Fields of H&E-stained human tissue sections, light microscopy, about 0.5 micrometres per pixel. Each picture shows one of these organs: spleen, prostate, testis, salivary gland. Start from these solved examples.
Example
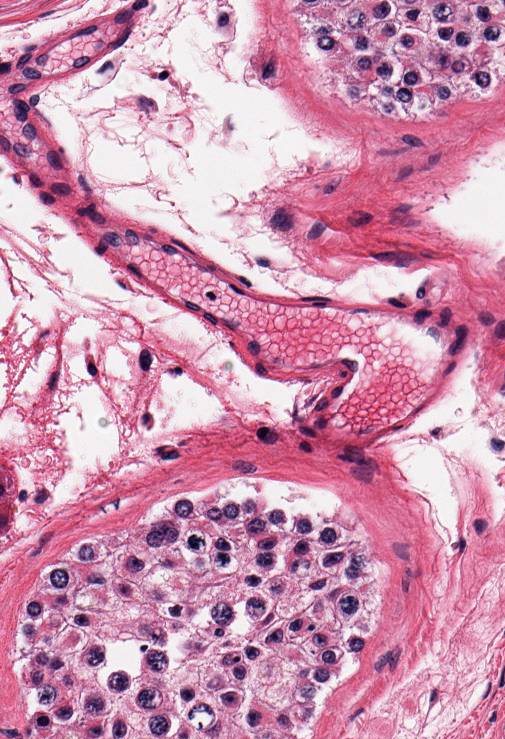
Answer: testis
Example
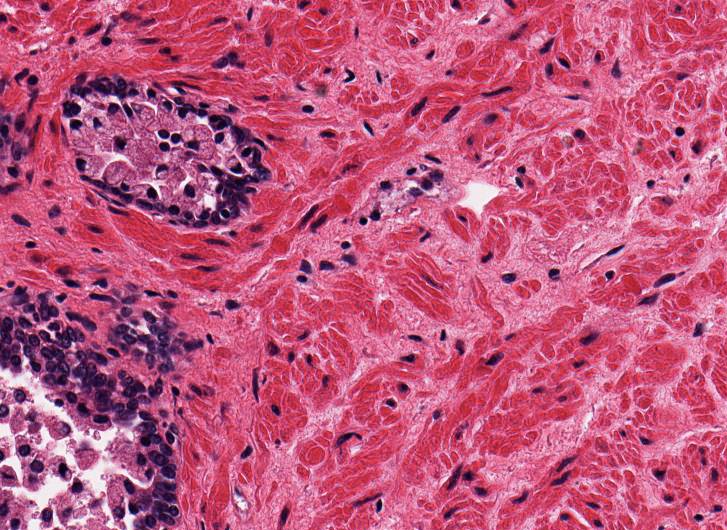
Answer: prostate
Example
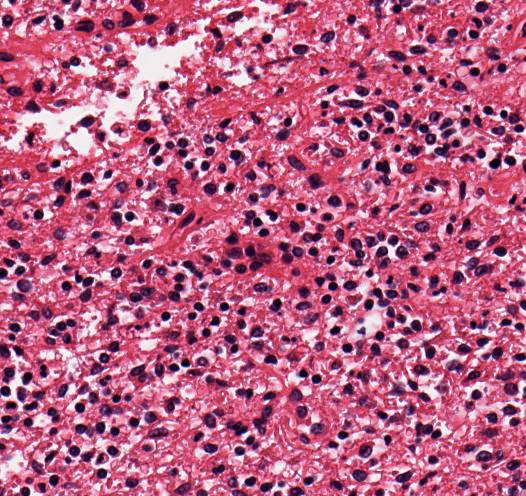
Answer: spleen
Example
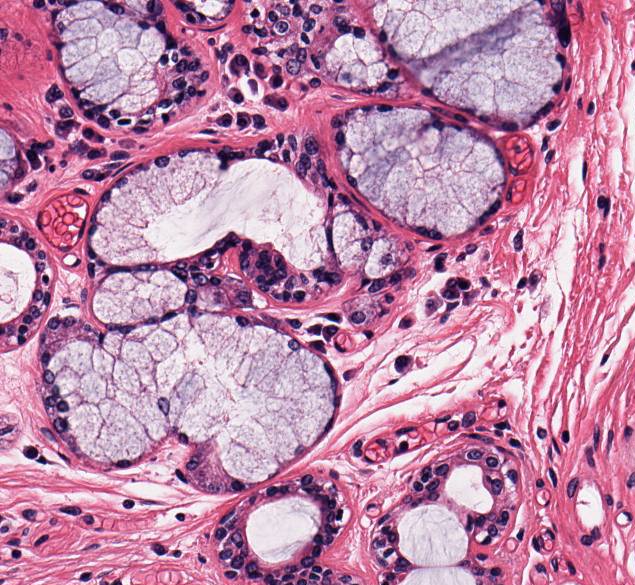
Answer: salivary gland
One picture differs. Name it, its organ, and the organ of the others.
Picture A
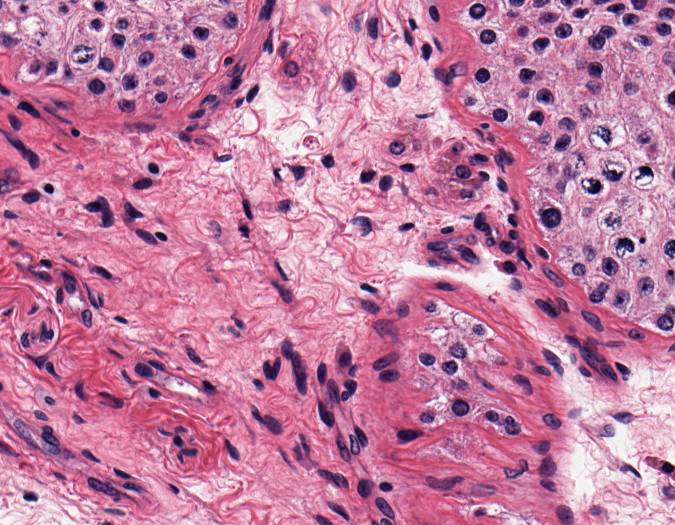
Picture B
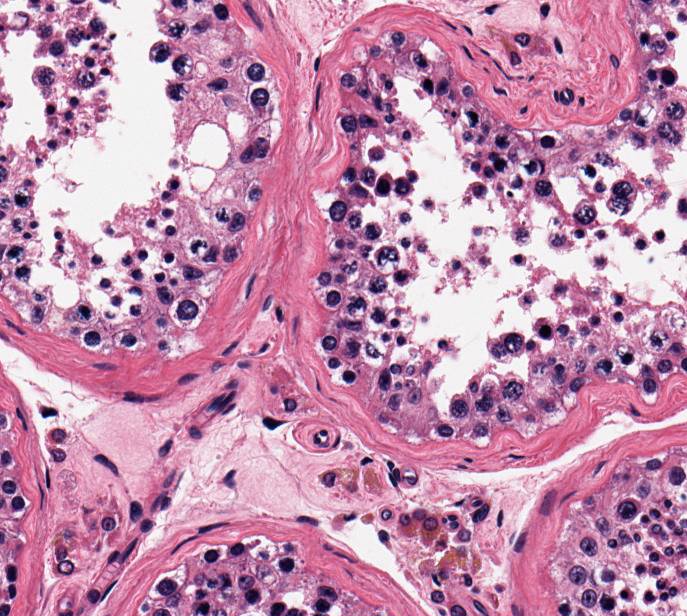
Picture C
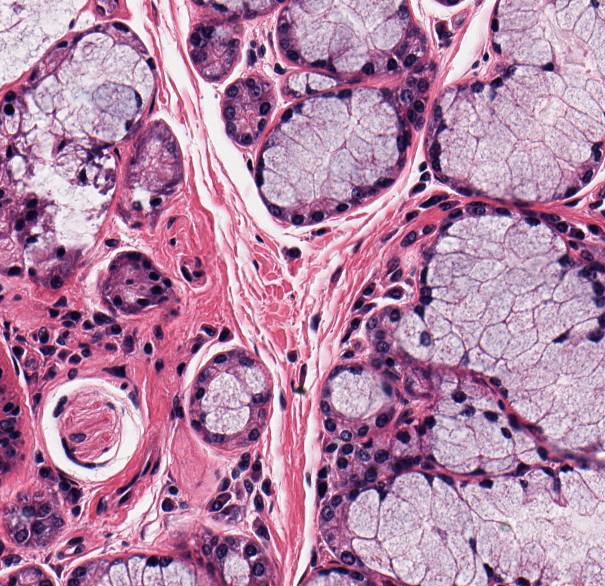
Different: C, salivary gland. Others: testis.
